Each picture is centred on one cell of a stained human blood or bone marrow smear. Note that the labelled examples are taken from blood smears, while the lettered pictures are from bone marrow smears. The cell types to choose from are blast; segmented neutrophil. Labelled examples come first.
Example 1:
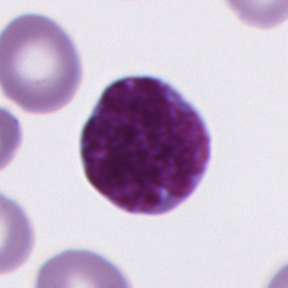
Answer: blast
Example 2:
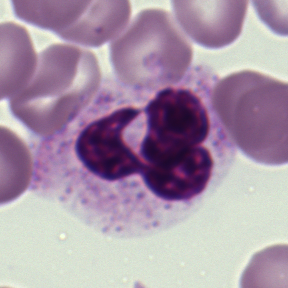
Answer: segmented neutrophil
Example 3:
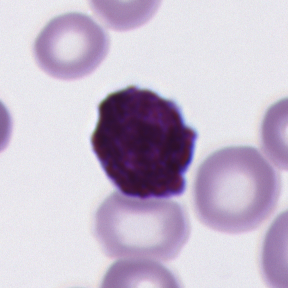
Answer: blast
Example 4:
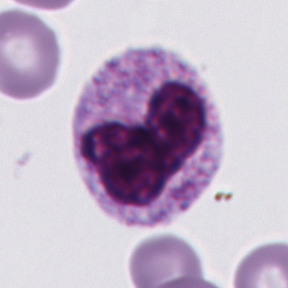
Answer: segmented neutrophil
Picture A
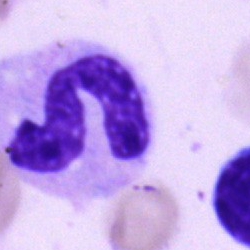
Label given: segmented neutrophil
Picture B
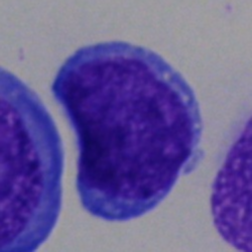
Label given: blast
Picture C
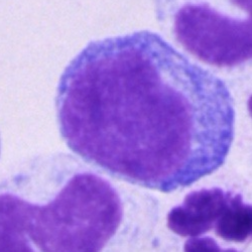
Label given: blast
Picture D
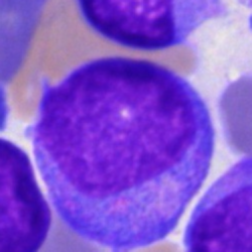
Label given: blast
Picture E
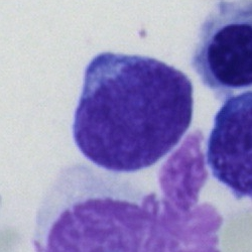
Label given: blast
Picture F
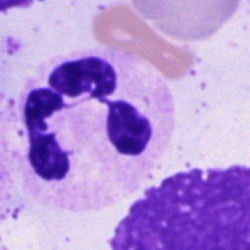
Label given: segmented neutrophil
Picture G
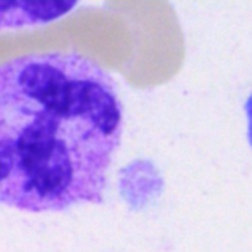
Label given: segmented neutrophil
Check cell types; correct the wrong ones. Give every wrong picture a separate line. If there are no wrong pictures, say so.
All labels are correct.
